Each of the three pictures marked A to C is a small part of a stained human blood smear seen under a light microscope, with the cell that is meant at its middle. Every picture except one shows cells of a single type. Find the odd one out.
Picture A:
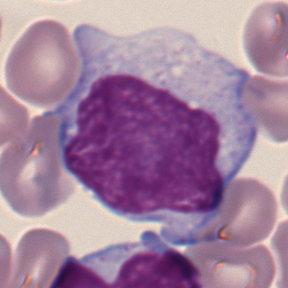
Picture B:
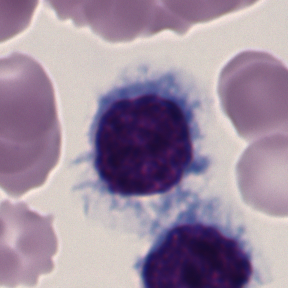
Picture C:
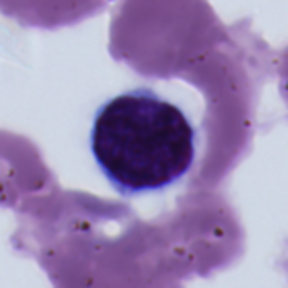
A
